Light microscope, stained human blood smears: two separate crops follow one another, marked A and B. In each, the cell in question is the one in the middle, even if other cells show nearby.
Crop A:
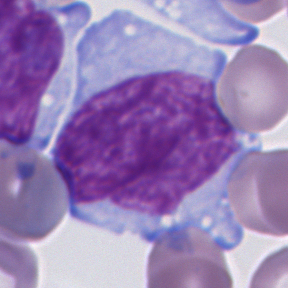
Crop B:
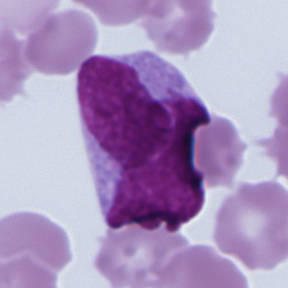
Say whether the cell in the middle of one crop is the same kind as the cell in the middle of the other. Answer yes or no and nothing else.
yes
